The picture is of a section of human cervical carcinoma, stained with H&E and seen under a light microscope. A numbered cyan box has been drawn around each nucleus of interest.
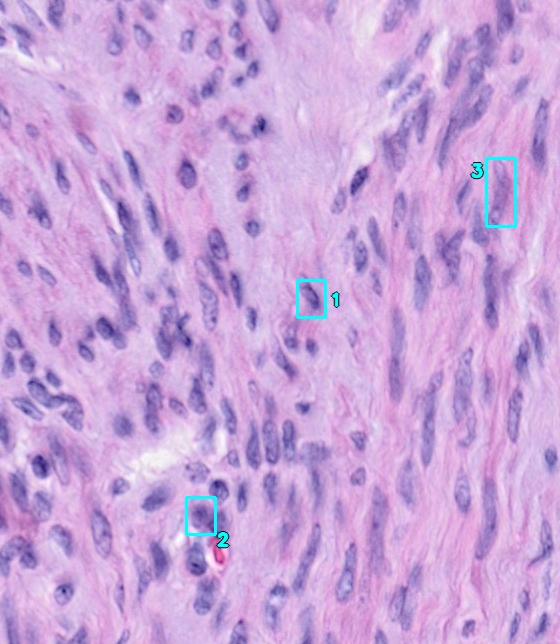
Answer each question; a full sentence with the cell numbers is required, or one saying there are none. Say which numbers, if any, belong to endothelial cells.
Cell 2 is an endothelial cell, and this holds for no other numbered cell.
